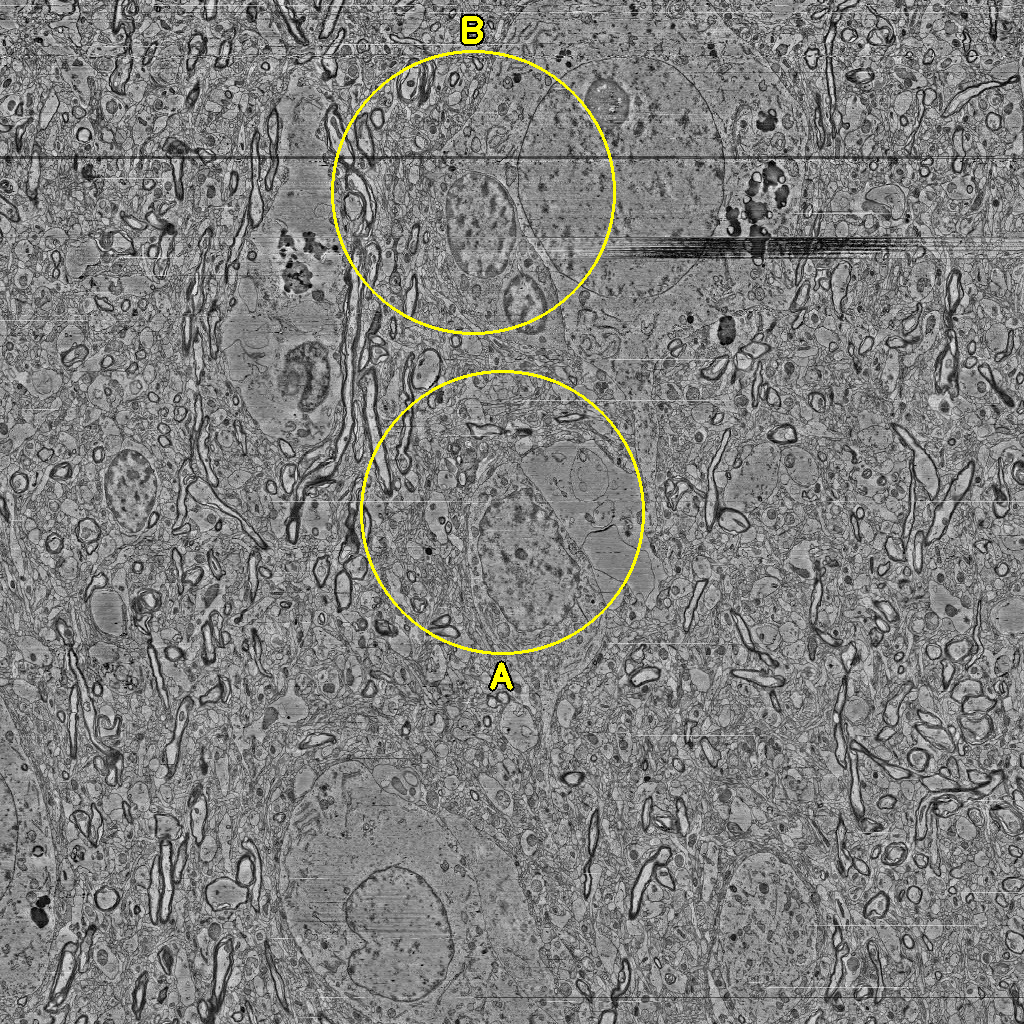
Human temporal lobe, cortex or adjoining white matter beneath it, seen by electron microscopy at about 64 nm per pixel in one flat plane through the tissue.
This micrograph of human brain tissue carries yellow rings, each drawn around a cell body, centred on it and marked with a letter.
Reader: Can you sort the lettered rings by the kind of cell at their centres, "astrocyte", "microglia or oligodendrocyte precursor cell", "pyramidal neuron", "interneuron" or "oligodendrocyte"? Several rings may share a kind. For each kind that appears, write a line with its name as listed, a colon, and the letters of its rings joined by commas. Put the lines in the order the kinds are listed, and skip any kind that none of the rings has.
interneuron: A
oligodendrocyte: B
